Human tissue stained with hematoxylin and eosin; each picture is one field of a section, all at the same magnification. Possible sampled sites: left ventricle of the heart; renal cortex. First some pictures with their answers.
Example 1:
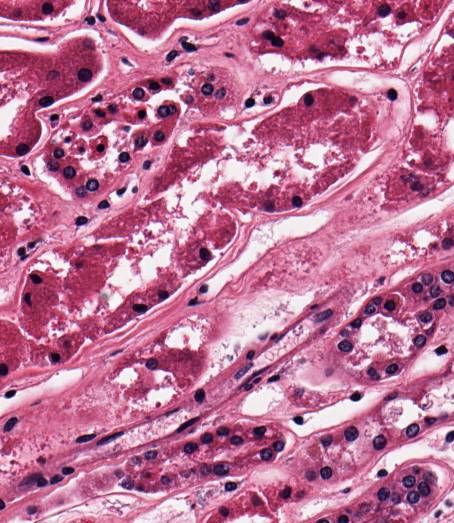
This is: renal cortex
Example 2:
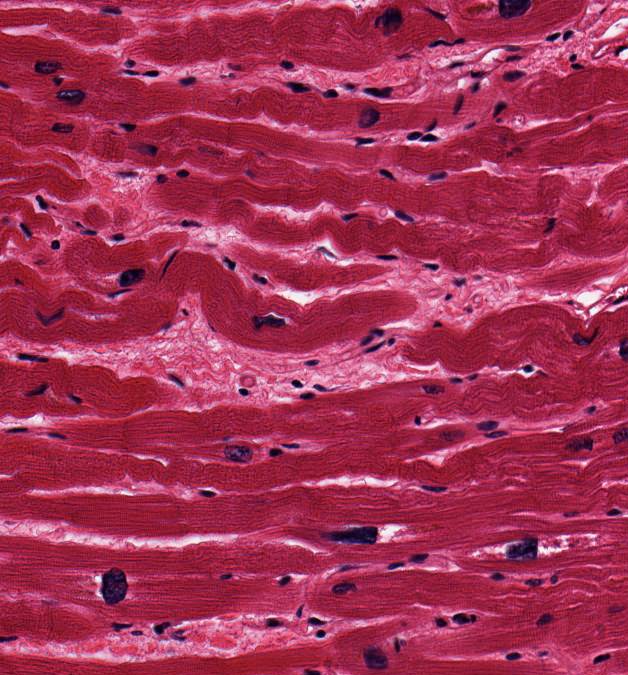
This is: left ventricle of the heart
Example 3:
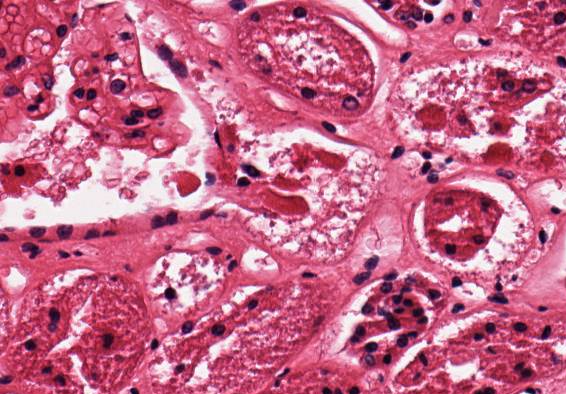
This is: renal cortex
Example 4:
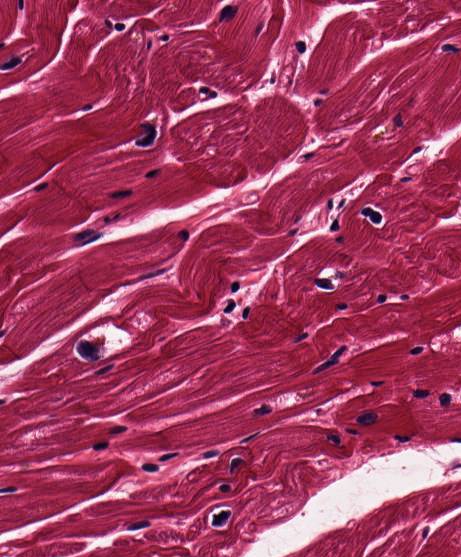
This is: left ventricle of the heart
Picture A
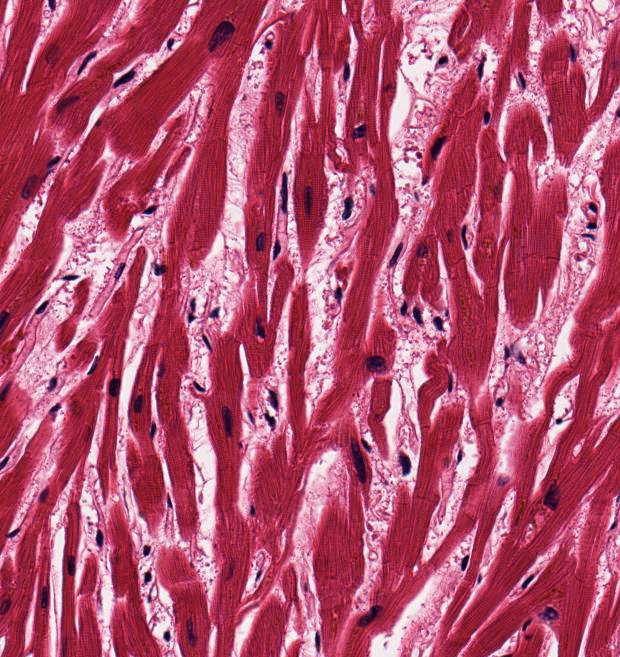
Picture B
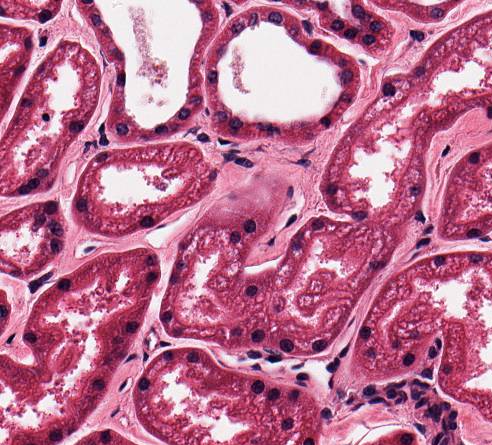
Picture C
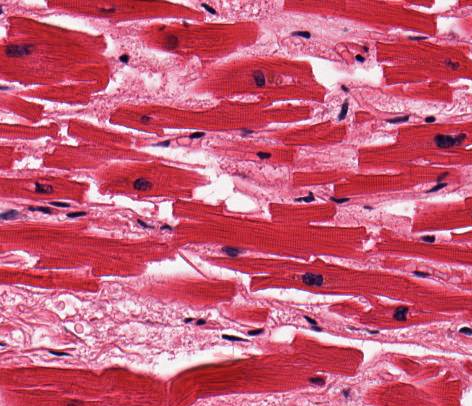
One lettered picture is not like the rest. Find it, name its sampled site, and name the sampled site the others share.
Picture B: renal cortex. All others: left ventricle of the heart.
